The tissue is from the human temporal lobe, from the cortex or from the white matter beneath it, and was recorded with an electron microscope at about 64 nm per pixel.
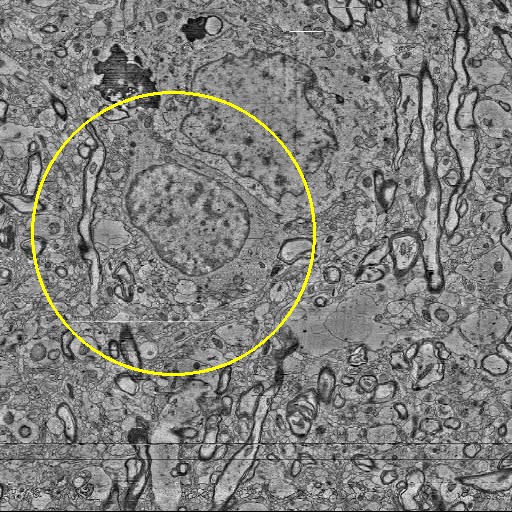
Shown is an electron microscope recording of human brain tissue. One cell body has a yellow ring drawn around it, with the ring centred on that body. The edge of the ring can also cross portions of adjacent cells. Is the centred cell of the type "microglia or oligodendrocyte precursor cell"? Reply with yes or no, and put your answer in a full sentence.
No, in the picture, the cell on which the ring is centred has a different type.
